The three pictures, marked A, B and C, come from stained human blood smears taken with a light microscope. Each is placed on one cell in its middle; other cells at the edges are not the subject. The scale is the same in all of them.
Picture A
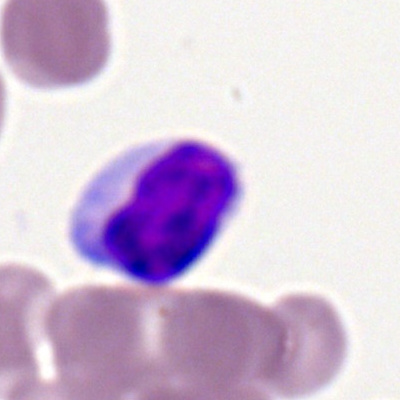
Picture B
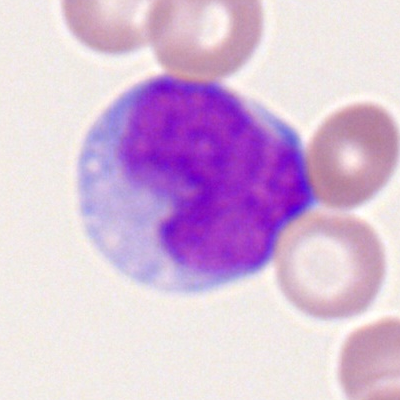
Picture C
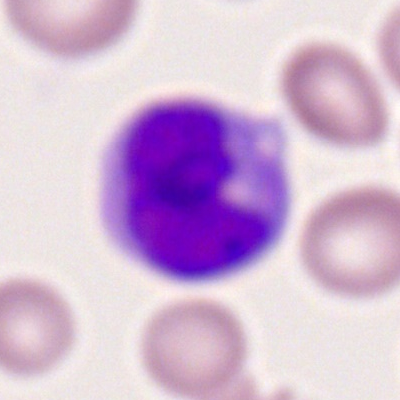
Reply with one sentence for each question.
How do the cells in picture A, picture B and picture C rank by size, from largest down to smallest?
From the largest down, the order is B, C, A.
